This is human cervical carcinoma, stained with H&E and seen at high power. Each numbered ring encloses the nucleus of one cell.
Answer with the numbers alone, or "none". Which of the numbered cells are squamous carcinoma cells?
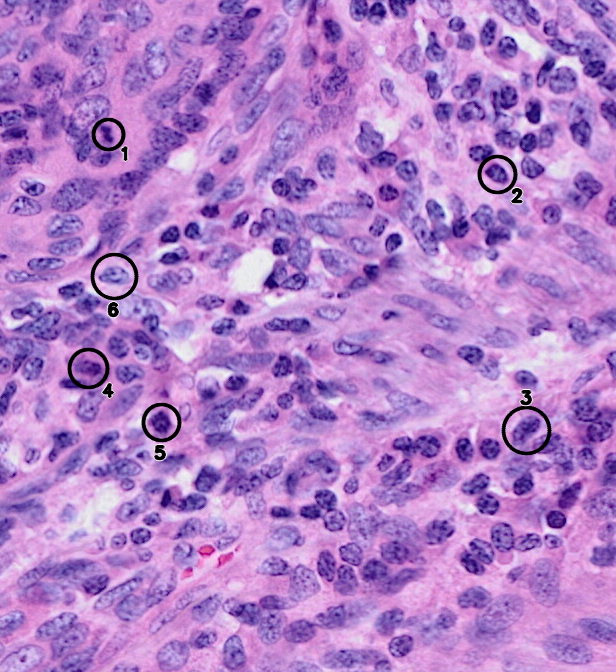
1, 4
